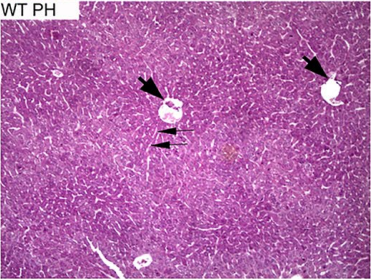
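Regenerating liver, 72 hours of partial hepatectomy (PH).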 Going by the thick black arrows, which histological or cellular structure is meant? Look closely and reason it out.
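The thick arrows point to round clear lumina within the parenchyma. The tissue is arranged around these lumina.
Hence: central vein.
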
